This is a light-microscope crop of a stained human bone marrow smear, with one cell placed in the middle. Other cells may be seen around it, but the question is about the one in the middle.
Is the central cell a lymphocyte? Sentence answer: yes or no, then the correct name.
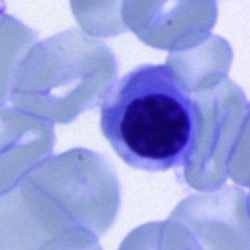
No, wrong label: the middle cell is a normoblast instead of a lymphocyte.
